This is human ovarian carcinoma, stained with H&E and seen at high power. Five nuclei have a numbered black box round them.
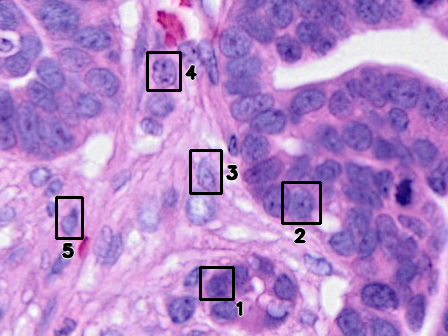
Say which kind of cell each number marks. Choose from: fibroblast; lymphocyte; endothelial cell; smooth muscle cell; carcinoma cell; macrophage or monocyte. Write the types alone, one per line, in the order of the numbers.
carcinoma cell
carcinoma cell
fibroblast
macrophage or monocyte
fibroblast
